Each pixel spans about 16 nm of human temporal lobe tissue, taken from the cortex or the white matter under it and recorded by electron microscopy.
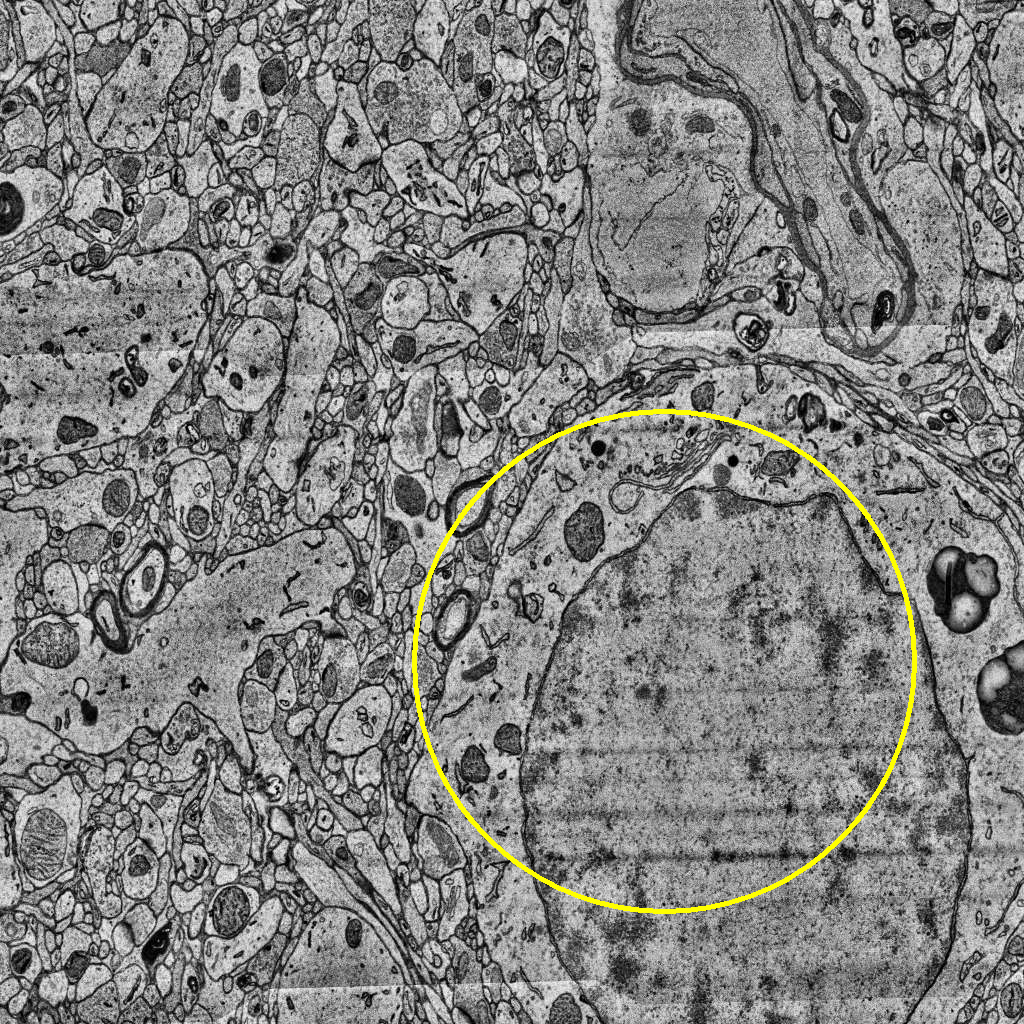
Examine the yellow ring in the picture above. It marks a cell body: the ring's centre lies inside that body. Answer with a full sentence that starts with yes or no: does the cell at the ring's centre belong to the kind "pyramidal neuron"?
Yes, the cell whose body contains the ring's centre in the image is of that kind.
